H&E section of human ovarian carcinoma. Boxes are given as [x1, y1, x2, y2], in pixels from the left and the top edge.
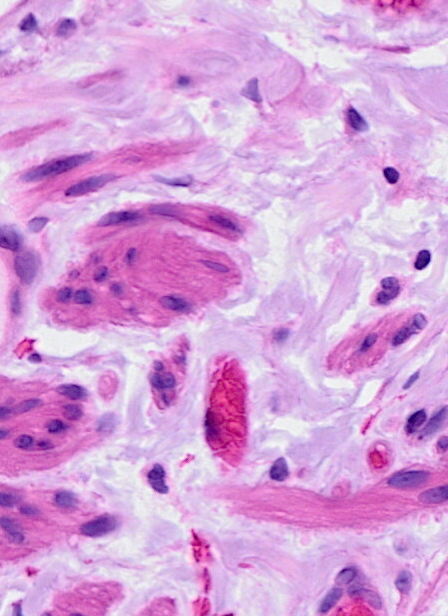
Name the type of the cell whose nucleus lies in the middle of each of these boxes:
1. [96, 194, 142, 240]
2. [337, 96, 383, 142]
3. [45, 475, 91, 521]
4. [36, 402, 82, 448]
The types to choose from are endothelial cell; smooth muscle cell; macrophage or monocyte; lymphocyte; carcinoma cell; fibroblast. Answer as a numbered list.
1. smooth muscle cell
2. fibroblast
3. smooth muscle cell
4. smooth muscle cell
